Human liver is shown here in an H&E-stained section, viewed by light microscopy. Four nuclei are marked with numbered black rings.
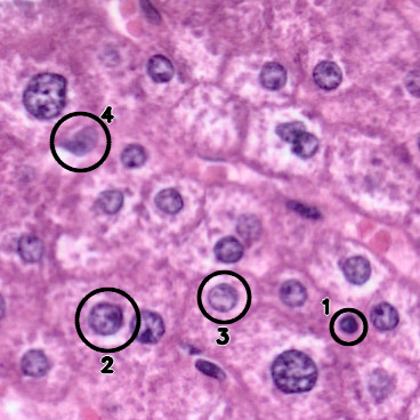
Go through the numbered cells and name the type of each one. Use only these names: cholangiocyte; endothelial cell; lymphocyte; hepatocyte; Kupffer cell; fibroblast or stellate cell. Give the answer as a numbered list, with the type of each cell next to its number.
1. lymphocyte
2. hepatocyte
3. hepatocyte
4. endothelial cell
